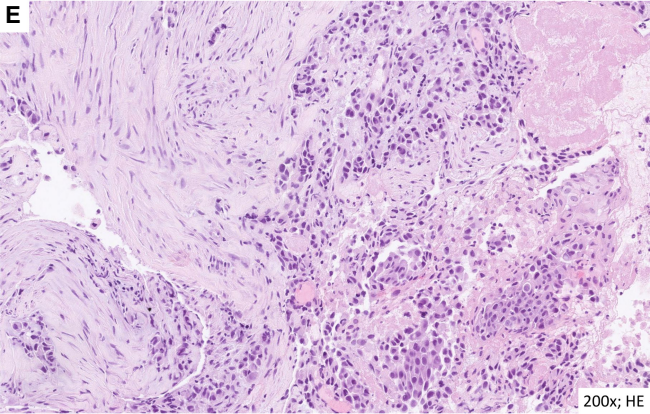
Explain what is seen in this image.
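The stroma on the left is rich in wavy collagen and elongated spindle-shaped fibroblast nuclei, and a rounded, concentrically layered structure lies at the lower left. The tumor cells in the centre and right are crowded, with oval, dark purple nuclei, some irregular, and scant to moderate pale pink cytoplasm. At the upper right lies a patch of homogeneous, pale eosinophilic material without cells.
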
